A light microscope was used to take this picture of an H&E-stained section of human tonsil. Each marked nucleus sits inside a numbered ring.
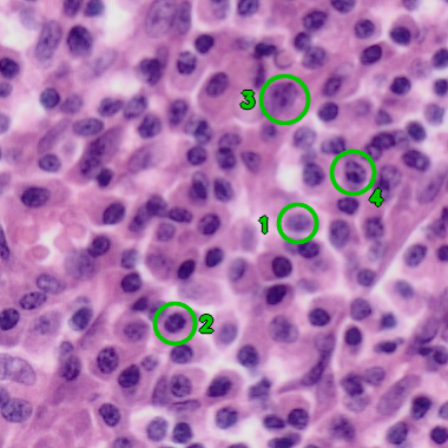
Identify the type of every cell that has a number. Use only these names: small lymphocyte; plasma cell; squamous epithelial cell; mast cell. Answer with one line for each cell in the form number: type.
1: plasma cell
2: plasma cell
3: squamous epithelial cell
4: plasma cell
